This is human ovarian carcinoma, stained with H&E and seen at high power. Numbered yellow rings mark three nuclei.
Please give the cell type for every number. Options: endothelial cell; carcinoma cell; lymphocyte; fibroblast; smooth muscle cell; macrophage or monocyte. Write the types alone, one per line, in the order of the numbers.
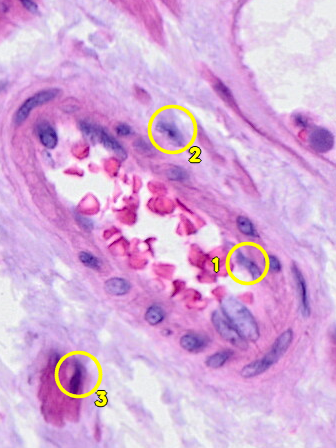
endothelial cell
fibroblast
smooth muscle cell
